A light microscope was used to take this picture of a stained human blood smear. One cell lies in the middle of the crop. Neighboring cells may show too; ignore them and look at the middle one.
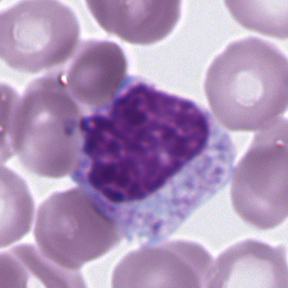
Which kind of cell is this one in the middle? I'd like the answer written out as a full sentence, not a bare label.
Here the centrally located cell is a myelocyte.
